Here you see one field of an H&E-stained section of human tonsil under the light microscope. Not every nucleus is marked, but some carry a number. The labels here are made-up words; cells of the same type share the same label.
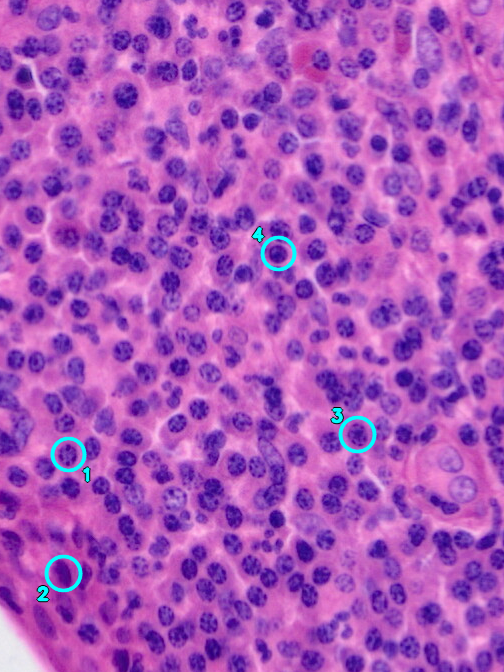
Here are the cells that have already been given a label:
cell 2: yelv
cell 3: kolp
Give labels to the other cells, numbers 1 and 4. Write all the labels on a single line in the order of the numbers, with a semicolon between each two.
kolp; kolp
